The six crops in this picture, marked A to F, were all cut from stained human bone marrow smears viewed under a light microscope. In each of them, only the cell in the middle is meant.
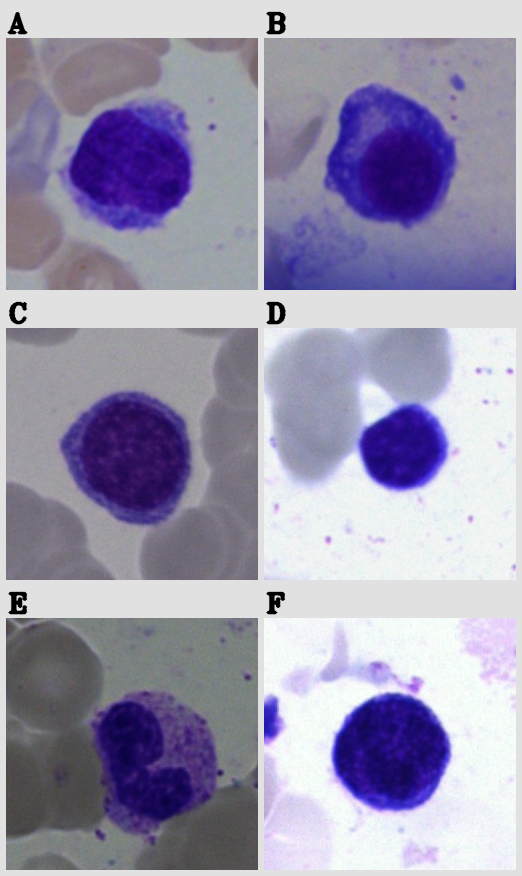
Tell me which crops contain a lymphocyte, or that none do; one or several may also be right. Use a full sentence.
So, to put it simply, crops C and D show lymphocytes.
